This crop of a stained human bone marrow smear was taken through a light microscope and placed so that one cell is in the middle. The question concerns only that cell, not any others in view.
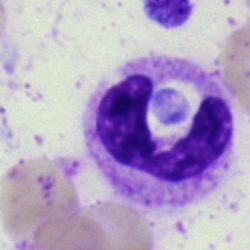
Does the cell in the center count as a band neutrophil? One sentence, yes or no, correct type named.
Yes, the cell positioned at the centre of the crop is a band neutrophil.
